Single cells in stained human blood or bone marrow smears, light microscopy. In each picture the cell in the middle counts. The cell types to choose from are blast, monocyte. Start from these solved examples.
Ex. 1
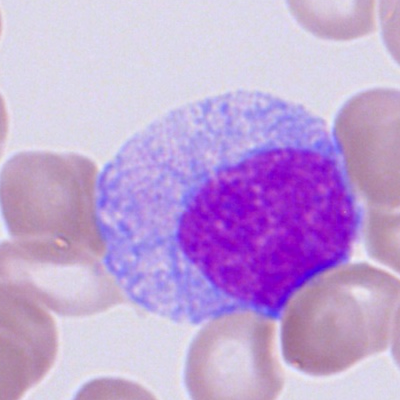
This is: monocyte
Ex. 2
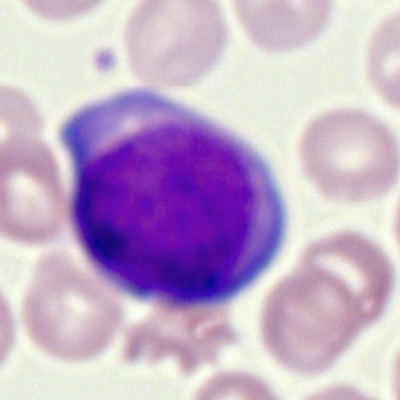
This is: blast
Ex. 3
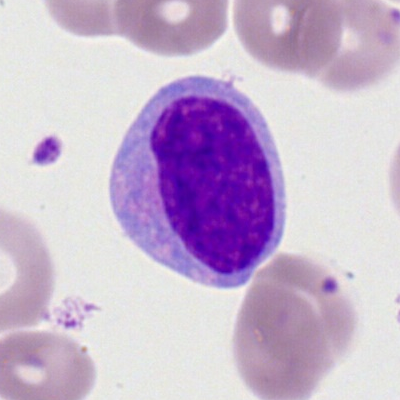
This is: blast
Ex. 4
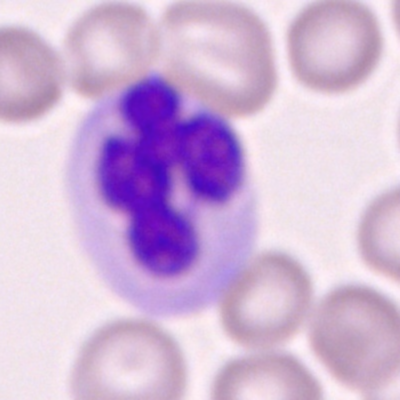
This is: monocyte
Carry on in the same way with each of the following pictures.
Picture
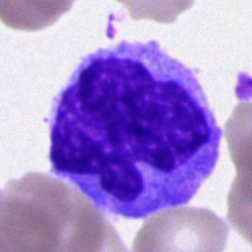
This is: monocyte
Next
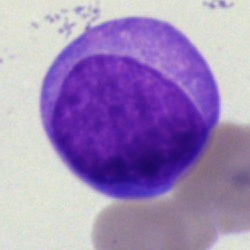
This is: blast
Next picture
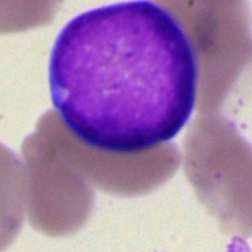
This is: blast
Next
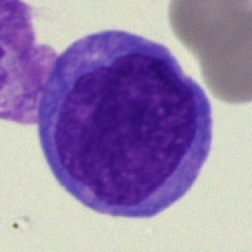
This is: blast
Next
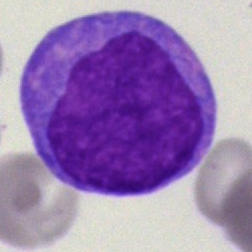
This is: blast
